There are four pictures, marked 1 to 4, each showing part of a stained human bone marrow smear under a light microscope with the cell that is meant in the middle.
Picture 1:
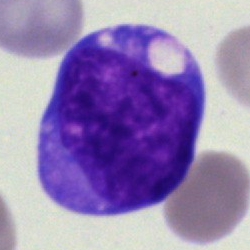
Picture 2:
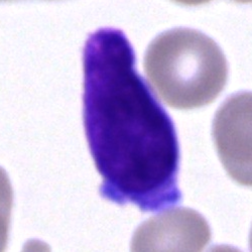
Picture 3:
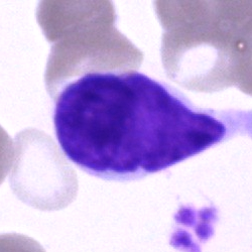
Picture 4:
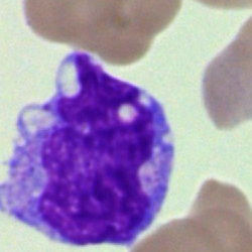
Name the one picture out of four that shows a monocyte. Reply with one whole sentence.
The cell in picture 4 is the monocyte.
